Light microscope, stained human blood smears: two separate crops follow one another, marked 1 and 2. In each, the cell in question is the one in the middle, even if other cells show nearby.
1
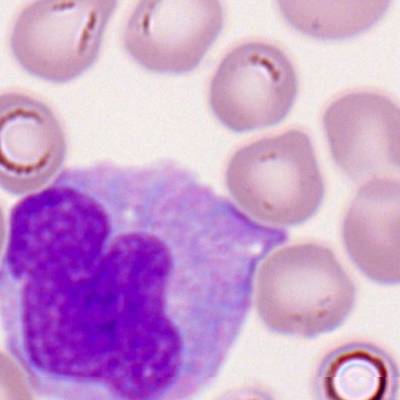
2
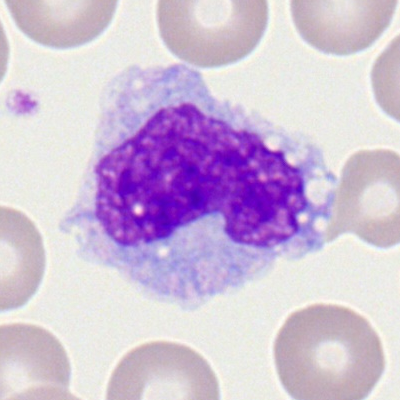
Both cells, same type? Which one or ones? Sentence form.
Yes, monocytes are depicted in both crops.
